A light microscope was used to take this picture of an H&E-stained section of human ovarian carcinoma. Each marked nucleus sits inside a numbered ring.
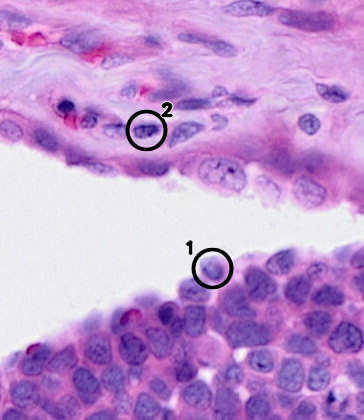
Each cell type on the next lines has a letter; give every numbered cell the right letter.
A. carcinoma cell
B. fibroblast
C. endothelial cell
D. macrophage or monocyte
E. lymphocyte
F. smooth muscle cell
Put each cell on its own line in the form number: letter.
1: D
2: E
